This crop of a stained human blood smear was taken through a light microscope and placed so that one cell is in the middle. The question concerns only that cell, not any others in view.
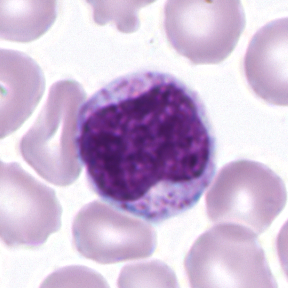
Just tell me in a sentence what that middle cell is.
Centred in the crop is a metamyelocyte.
